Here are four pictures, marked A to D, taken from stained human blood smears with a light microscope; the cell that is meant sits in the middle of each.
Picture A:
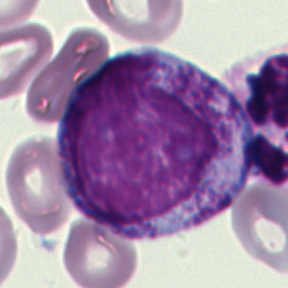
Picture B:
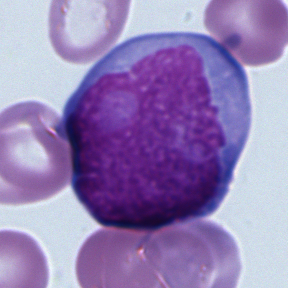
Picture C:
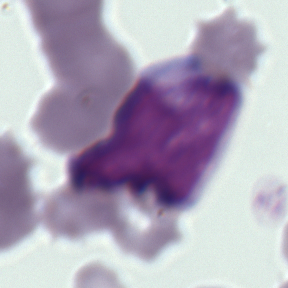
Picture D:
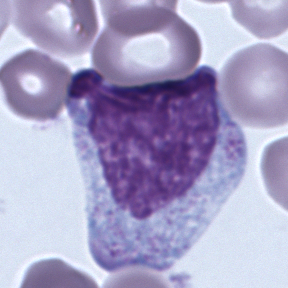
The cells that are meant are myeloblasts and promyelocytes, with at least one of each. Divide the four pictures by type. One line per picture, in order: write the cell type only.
promyelocyte
myeloblast
myeloblast
promyelocyte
